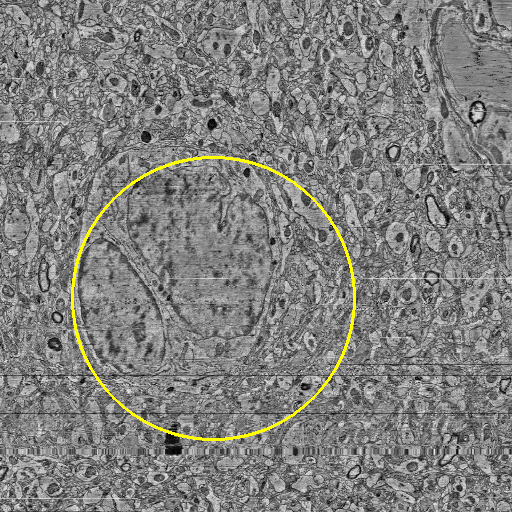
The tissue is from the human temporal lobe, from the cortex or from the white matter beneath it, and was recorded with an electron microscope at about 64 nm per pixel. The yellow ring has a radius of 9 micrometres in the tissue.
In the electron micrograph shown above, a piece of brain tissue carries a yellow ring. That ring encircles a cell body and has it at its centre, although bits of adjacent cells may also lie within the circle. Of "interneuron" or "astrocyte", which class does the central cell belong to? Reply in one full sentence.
The cell body at the centre of the yellow ring belongs to an interneuron.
